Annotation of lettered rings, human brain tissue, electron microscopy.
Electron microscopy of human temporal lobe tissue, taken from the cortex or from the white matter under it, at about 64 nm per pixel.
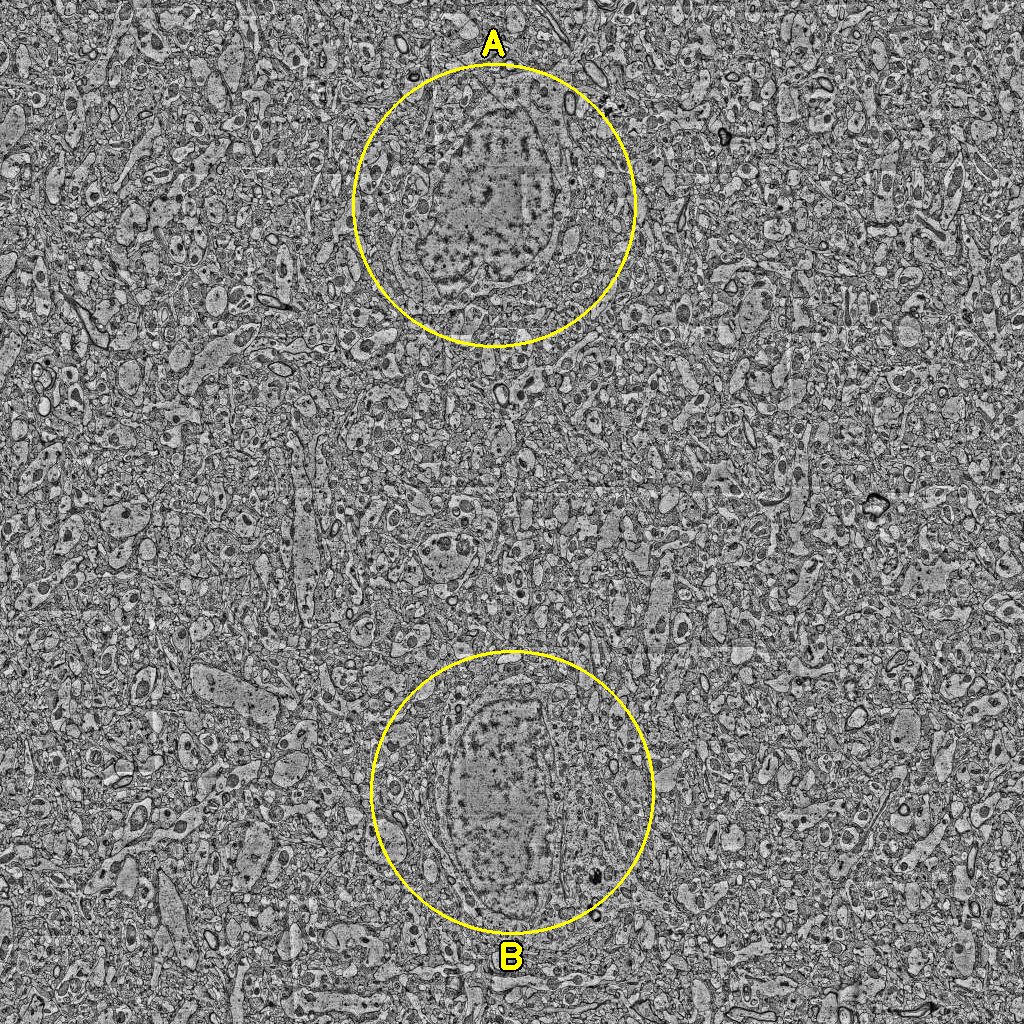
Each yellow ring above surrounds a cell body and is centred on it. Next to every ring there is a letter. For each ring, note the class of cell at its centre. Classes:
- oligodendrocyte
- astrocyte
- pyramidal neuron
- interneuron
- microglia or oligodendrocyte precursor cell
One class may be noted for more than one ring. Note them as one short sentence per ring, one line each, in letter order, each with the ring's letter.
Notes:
The class noted at ring A is an interneuron.
The class noted at ring B is an interneuron.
